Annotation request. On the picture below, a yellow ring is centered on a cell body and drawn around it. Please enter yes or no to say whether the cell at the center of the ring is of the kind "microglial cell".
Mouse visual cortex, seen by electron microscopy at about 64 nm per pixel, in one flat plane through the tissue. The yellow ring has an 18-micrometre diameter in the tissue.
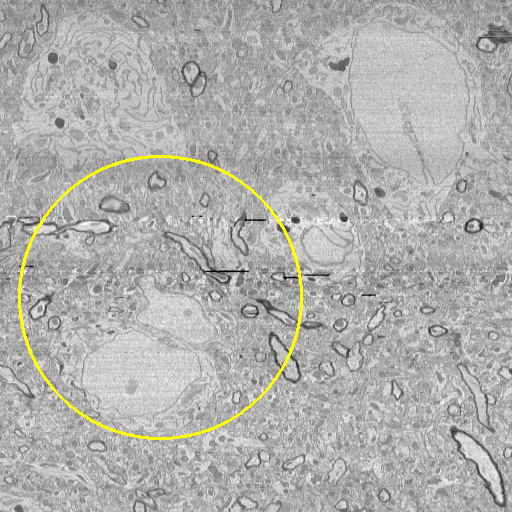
no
